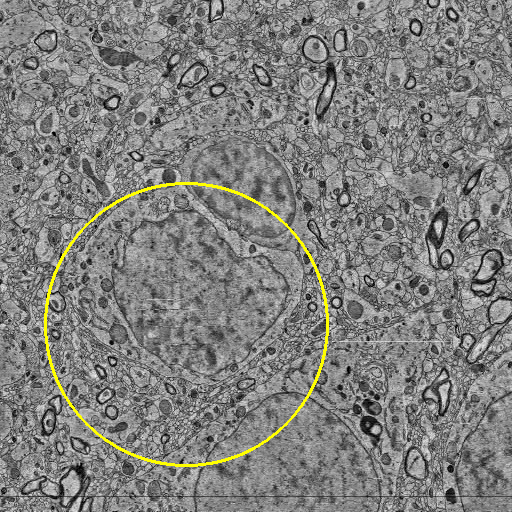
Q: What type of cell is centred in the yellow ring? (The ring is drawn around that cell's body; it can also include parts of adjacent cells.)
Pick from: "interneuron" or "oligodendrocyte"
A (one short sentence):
The yellow ring is centred on an interneuron.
